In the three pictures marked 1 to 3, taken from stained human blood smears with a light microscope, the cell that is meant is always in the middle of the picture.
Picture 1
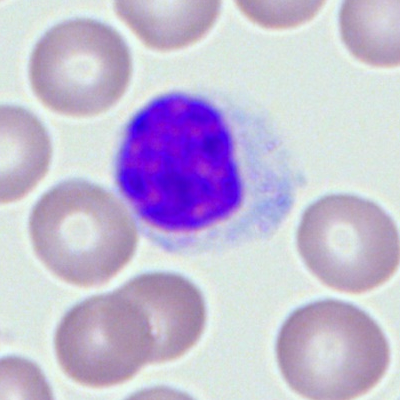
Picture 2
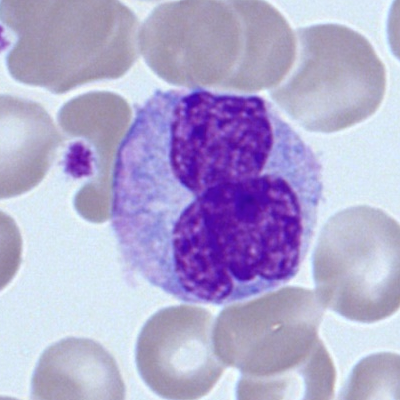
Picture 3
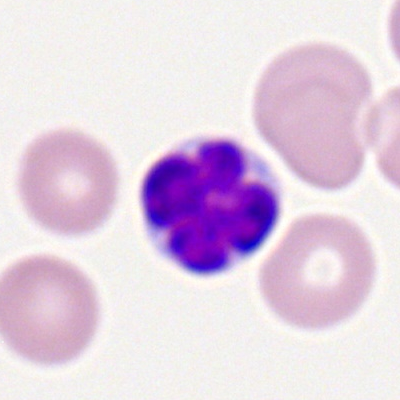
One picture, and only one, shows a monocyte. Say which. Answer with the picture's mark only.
2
